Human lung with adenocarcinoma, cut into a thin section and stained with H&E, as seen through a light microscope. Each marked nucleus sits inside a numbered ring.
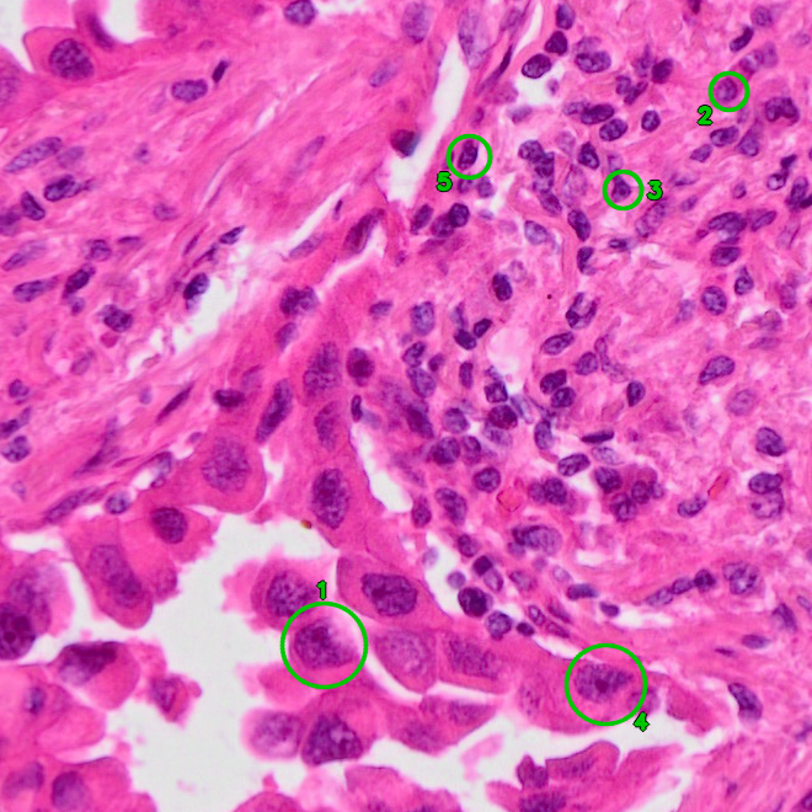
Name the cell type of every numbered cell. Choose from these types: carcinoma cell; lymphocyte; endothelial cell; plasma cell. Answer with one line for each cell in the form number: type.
1: carcinoma cell
2: plasma cell
3: lymphocyte
4: carcinoma cell
5: lymphocyte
